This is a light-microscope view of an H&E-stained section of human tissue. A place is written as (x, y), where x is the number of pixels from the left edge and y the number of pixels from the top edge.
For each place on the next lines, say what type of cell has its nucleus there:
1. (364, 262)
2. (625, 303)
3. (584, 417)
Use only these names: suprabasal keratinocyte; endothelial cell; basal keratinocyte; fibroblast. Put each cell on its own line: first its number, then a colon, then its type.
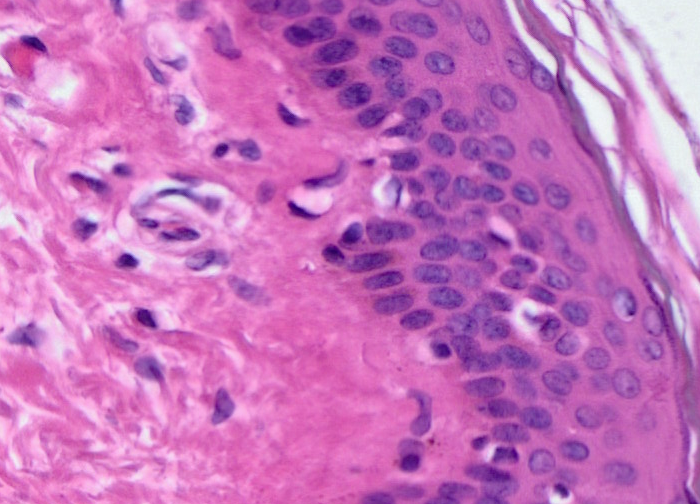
1: basal keratinocyte
2: suprabasal keratinocyte
3: suprabasal keratinocyte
